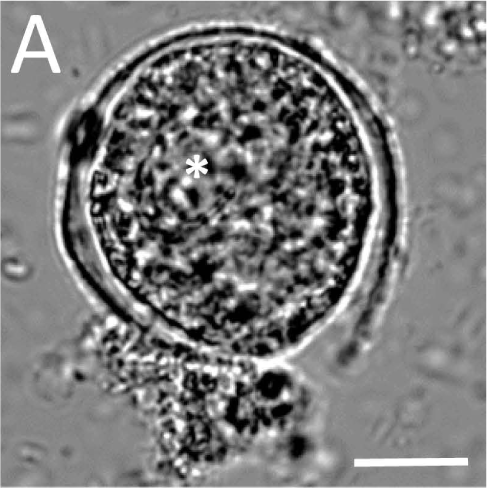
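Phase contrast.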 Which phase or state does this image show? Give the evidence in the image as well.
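A round cell enclosed by a distinct double-contoured wall. That points to this answer: cyst.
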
